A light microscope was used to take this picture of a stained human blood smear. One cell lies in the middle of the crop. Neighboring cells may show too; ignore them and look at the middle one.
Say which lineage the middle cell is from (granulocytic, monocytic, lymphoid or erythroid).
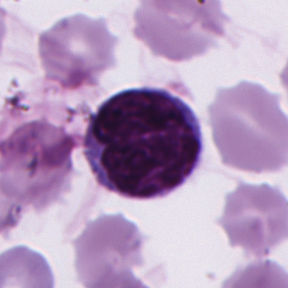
erythroid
